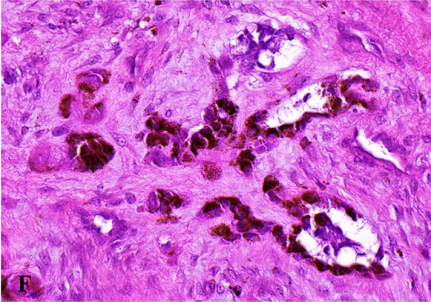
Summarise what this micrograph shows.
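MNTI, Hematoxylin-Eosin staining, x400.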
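The cells line small cleft-like and gland-like spaces, forming irregular clusters and cords. Their cytoplasm is packed with dark brown granular pigment that partly obscures the nuclei, while paler cells with oval nuclei lie alongside. The surrounding stroma is dense and eosinophilic with scattered spindle-shaped nuclei.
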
